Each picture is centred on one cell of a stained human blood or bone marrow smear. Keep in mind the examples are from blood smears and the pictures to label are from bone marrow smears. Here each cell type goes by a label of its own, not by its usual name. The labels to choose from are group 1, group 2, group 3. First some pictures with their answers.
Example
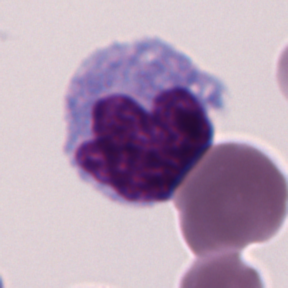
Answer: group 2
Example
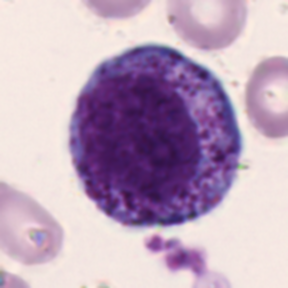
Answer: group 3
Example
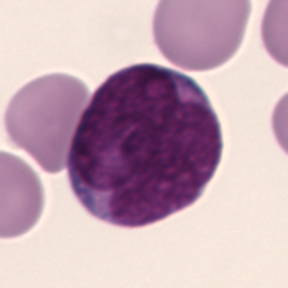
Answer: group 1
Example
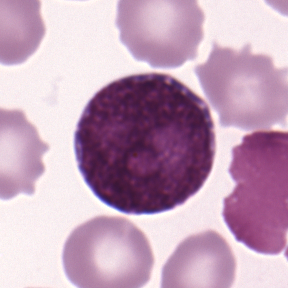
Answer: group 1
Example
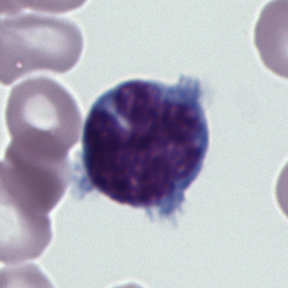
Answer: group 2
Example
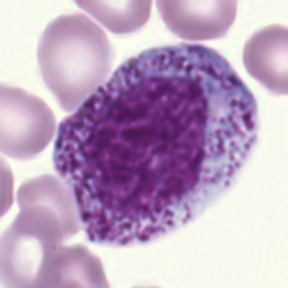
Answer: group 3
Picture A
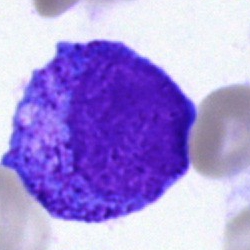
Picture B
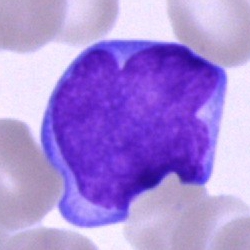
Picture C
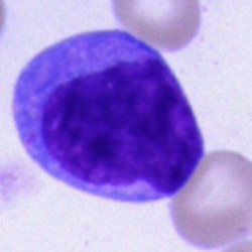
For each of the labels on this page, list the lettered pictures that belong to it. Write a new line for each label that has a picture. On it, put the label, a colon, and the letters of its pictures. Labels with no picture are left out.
group 1: B, C
group 3: A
